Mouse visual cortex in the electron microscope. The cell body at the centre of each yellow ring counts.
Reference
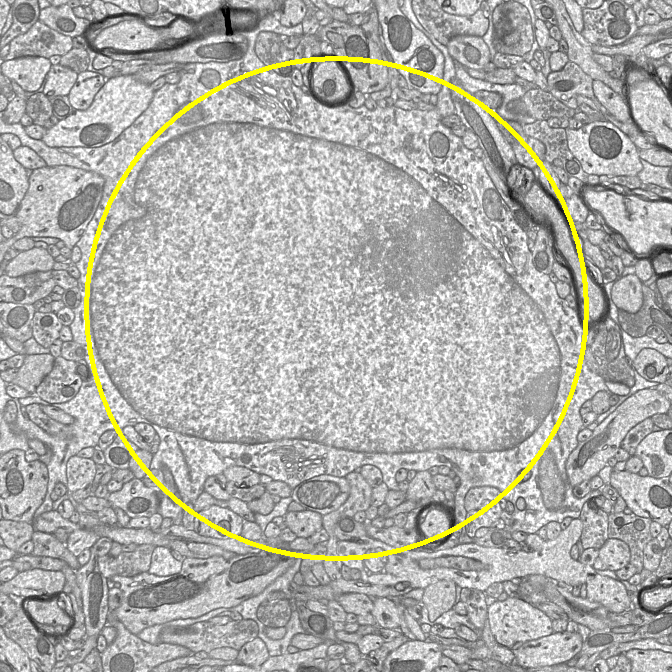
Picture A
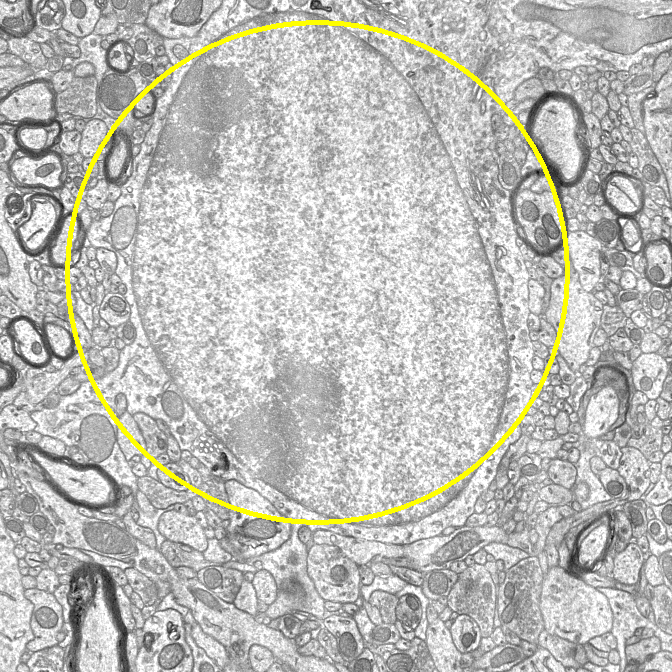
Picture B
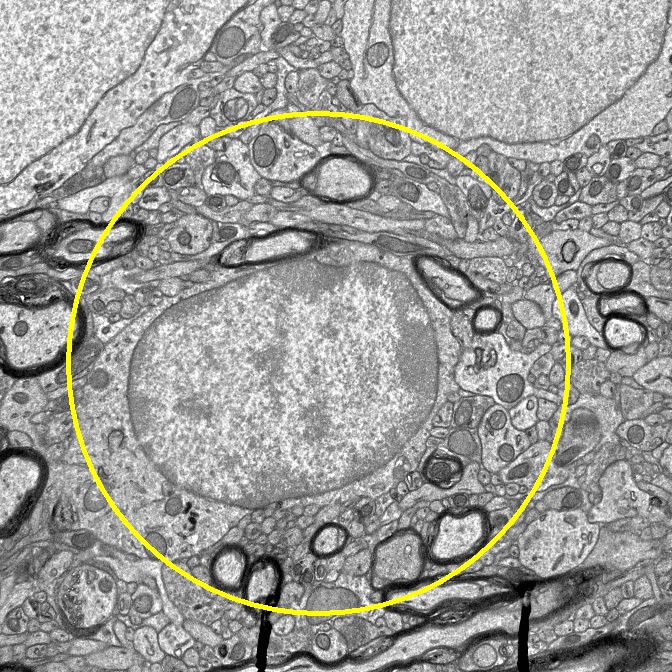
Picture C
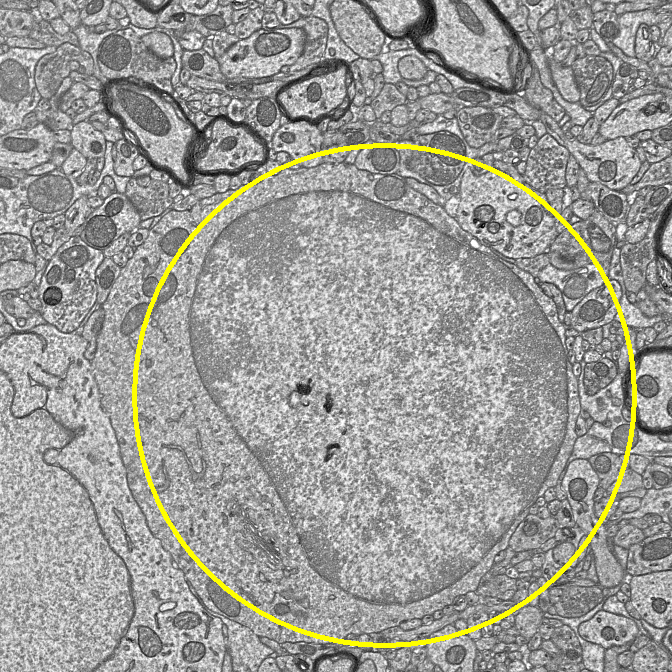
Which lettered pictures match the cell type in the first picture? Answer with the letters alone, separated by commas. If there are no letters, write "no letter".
A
